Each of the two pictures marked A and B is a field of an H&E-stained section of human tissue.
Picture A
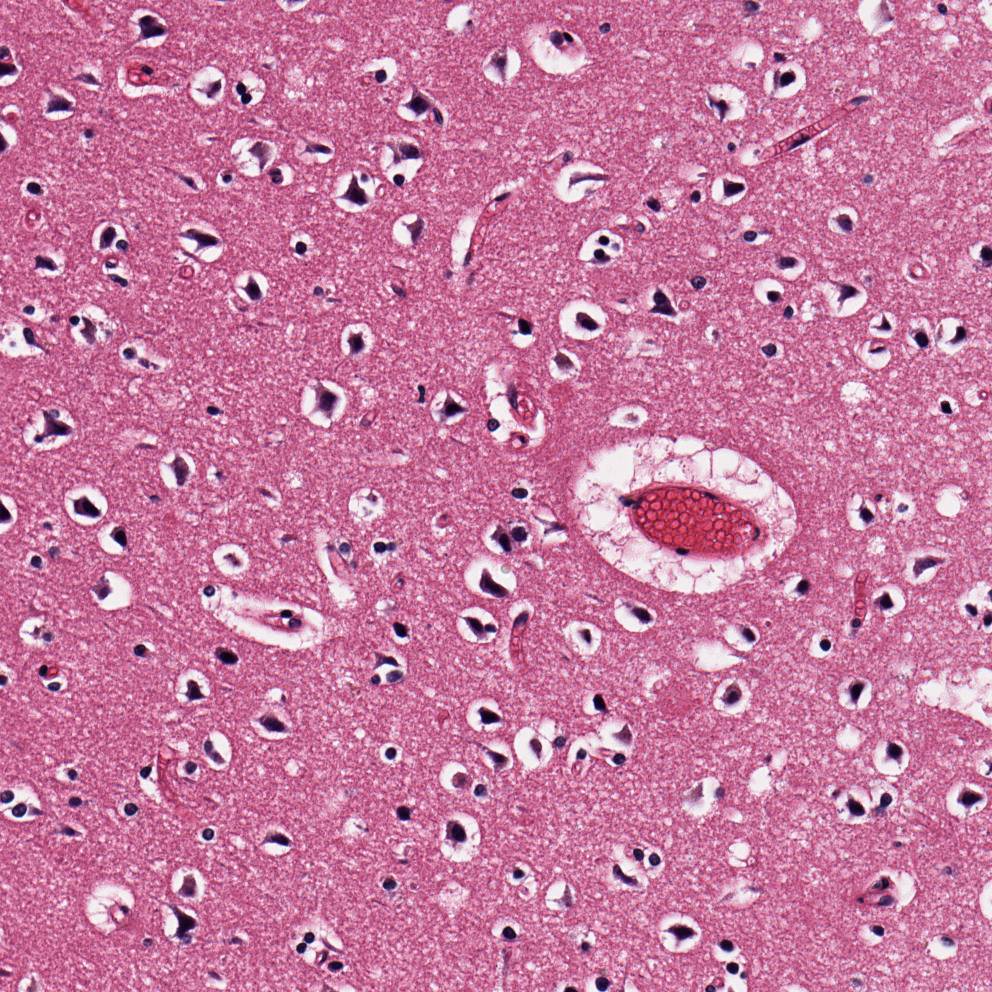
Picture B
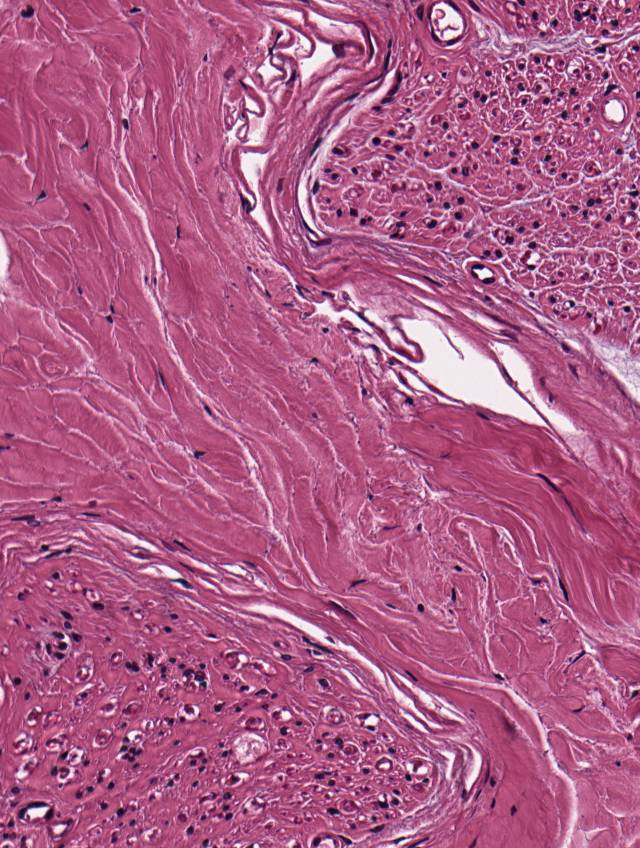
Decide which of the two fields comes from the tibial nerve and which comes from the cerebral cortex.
A: cerebral cortex
B: tibial nerve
